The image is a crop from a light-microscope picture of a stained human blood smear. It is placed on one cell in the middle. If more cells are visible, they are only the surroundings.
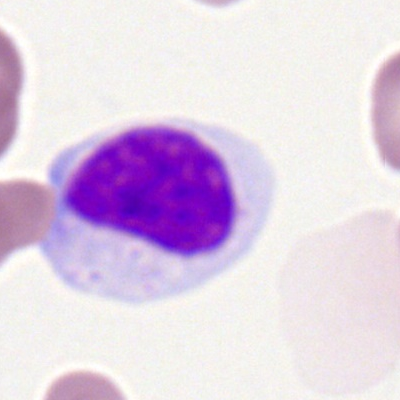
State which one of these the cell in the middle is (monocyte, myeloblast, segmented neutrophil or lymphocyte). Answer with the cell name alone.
lymphocyte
